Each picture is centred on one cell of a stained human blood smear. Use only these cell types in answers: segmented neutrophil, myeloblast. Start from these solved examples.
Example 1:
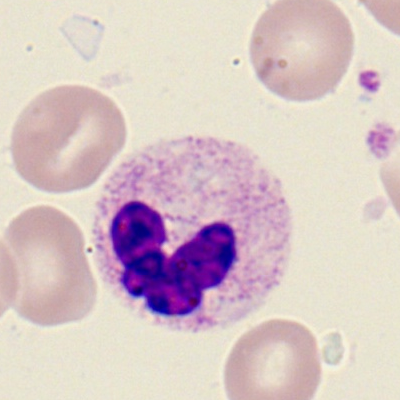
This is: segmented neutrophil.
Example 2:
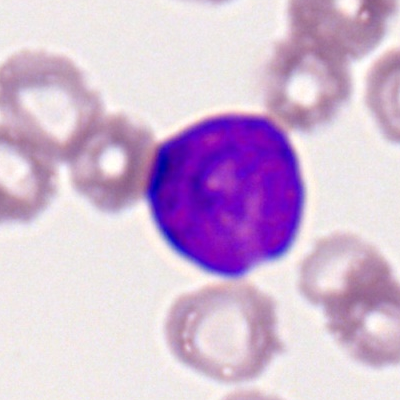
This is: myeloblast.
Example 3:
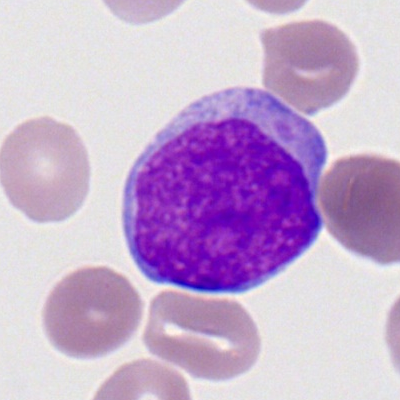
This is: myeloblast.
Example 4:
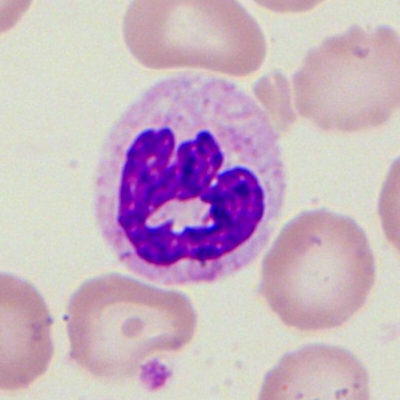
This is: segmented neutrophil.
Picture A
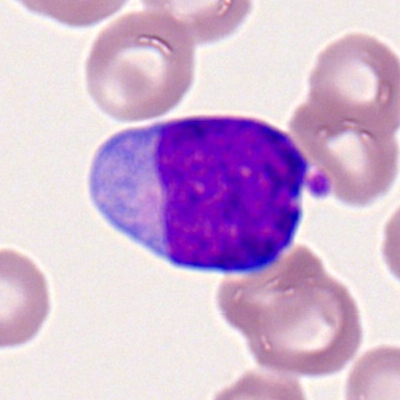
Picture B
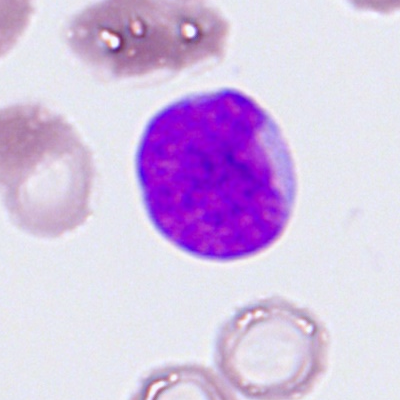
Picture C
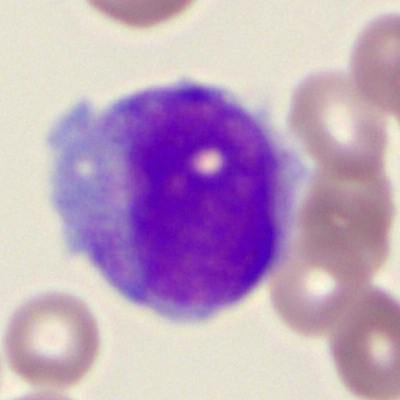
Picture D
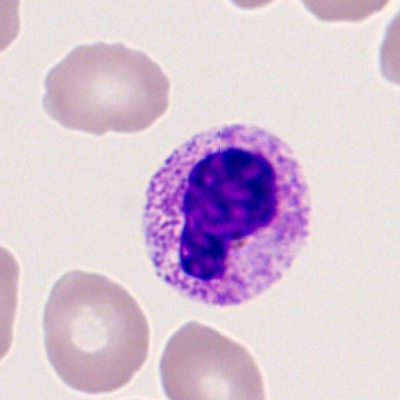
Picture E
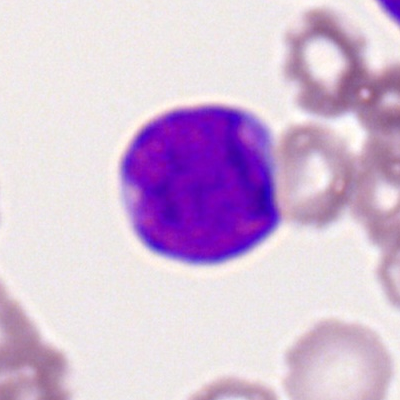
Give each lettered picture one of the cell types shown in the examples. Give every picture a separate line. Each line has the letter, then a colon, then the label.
A: myeloblast.
B: myeloblast.
C: myeloblast.
D: segmented neutrophil.
E: myeloblast.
